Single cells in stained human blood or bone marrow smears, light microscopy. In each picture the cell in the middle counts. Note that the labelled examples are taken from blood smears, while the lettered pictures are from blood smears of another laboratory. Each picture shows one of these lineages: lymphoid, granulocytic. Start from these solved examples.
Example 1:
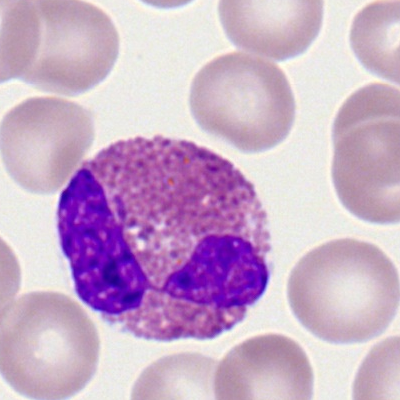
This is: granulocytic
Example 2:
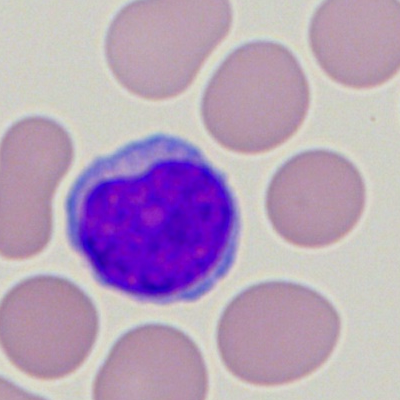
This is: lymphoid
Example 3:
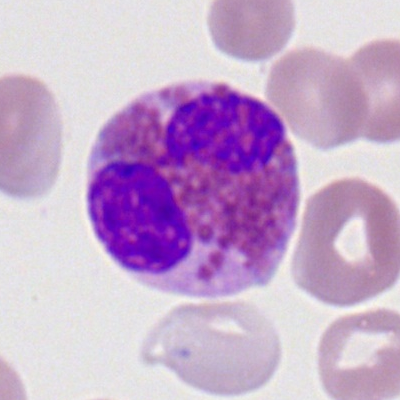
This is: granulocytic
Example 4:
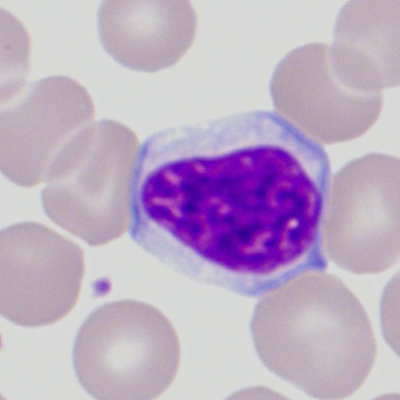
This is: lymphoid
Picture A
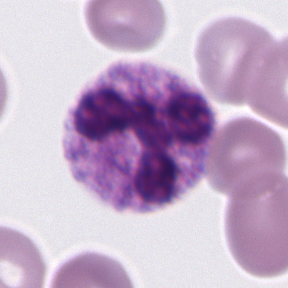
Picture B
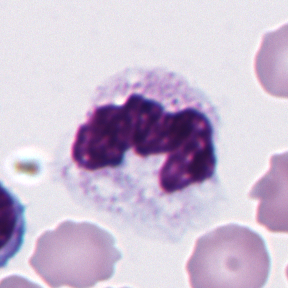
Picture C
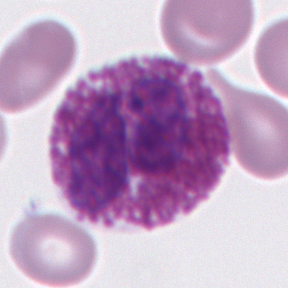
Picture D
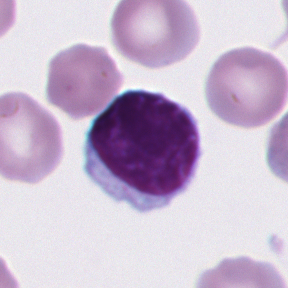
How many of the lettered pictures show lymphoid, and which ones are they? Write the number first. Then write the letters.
1: D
